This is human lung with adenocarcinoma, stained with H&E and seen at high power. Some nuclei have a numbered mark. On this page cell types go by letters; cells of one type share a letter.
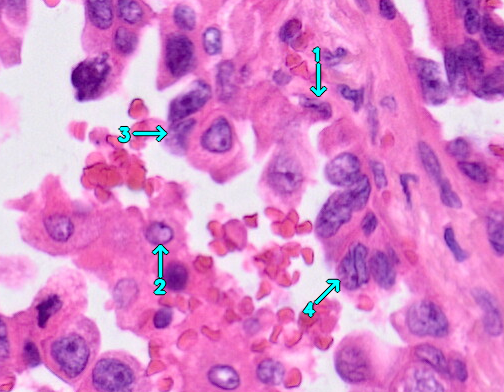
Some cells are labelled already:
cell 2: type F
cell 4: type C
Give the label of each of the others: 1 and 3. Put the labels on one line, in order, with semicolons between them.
type F; type C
